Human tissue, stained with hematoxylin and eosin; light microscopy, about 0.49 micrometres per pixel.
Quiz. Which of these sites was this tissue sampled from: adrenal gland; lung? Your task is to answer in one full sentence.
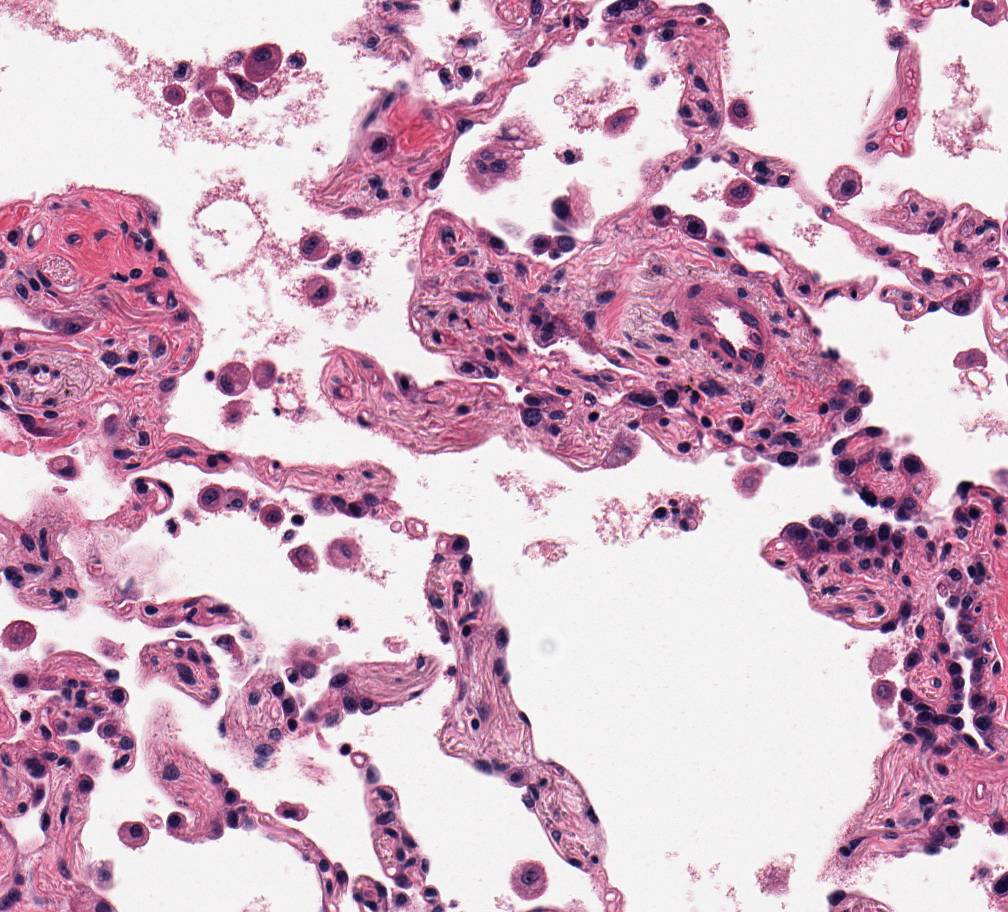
This section represents tissue sampled from the lung.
